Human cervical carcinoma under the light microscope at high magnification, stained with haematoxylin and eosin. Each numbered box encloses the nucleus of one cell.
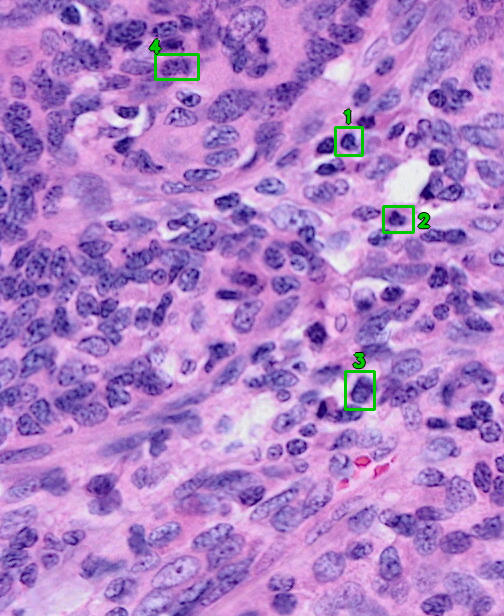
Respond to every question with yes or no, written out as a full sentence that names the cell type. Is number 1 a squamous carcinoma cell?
No, the cell carrying number 1 is a lymphocyte rather than a squamous carcinoma cell.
